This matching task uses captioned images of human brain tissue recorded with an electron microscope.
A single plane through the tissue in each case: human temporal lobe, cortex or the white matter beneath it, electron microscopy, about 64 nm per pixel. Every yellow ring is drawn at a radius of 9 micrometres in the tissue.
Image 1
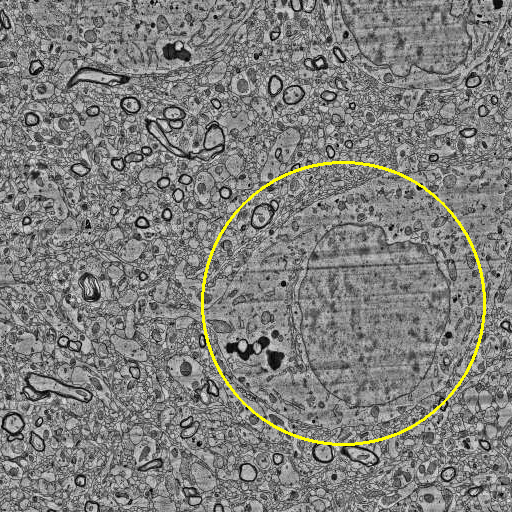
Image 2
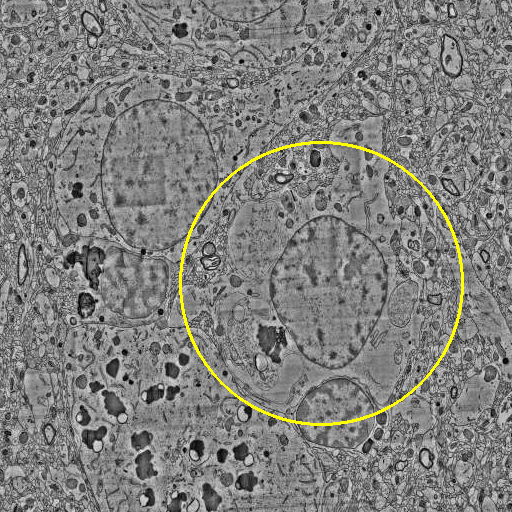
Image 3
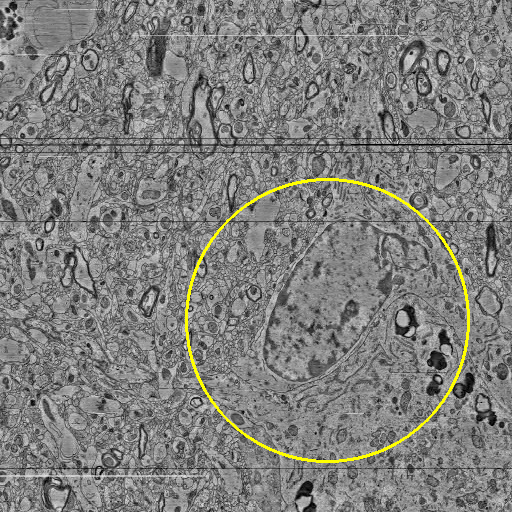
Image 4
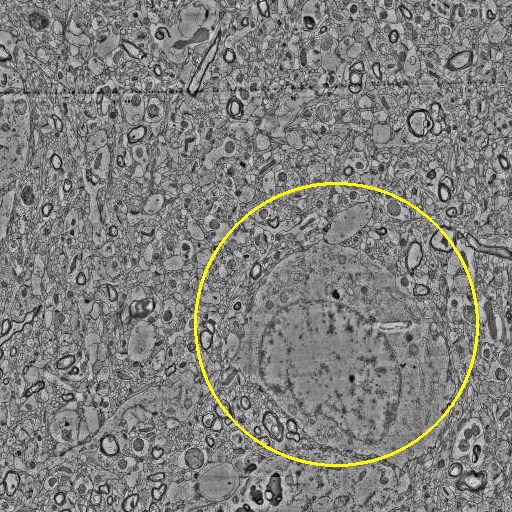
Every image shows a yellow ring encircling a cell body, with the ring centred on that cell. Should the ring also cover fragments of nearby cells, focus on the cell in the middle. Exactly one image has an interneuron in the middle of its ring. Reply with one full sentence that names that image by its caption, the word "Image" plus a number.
Image 4 shows the cell in question at the centre of its yellow ring.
